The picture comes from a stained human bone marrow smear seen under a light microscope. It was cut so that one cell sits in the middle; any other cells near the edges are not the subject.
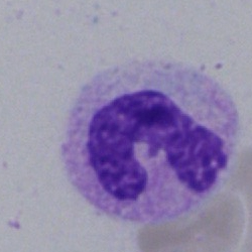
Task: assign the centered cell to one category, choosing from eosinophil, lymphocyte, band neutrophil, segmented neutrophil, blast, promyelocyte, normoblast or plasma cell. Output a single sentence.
As for the cell in the middle, it is a band neutrophil.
